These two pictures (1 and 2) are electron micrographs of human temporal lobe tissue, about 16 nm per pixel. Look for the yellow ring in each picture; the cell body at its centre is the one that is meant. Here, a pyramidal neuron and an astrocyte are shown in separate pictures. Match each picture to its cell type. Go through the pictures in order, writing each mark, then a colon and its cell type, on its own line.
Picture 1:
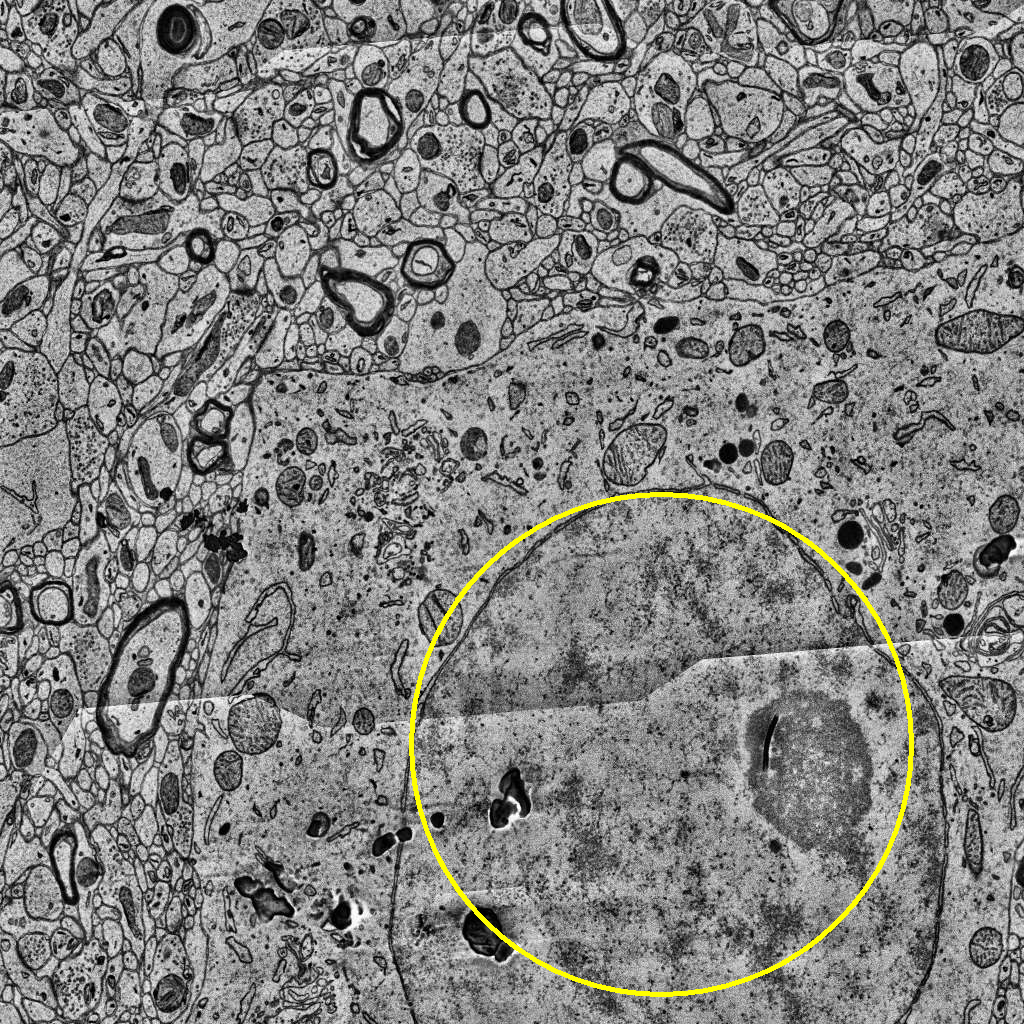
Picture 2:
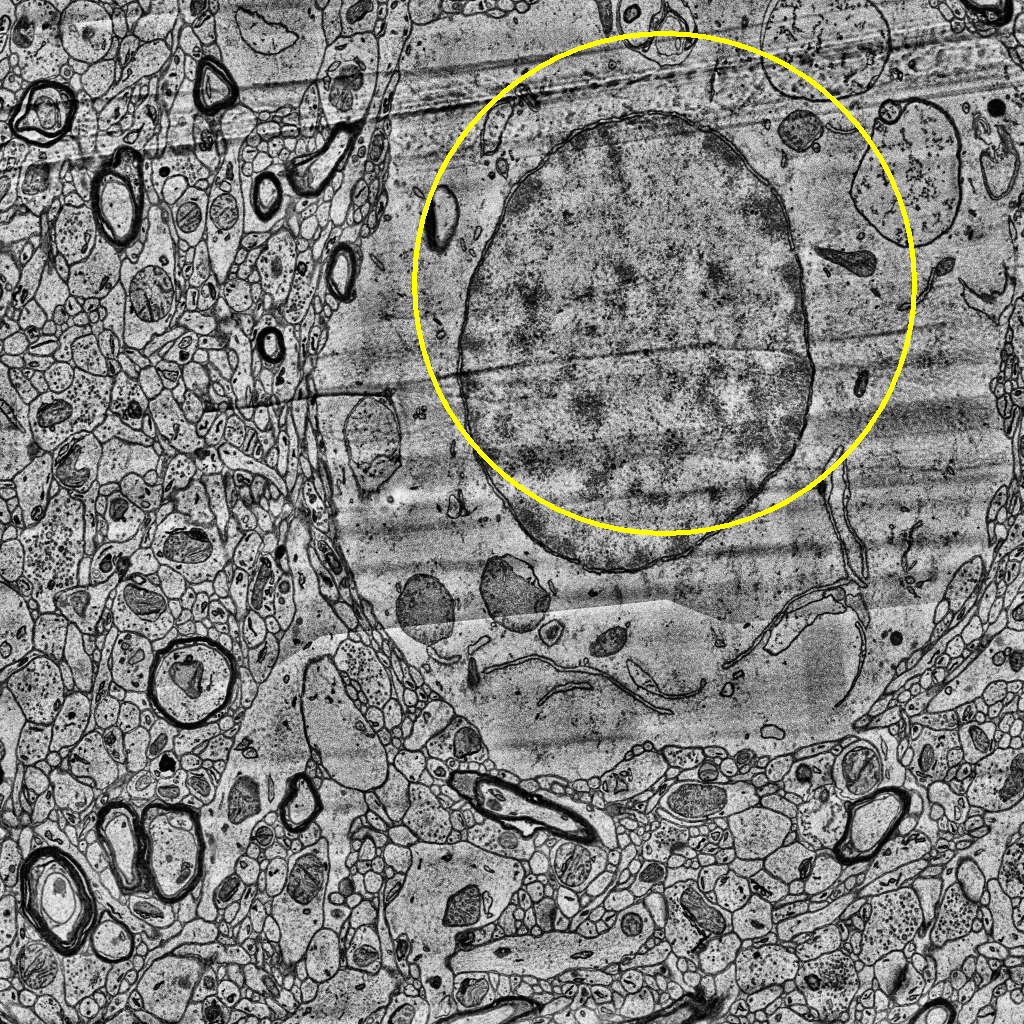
1: pyramidal neuron
2: astrocyte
